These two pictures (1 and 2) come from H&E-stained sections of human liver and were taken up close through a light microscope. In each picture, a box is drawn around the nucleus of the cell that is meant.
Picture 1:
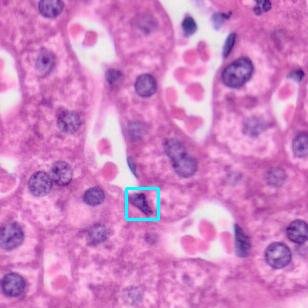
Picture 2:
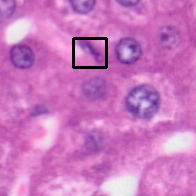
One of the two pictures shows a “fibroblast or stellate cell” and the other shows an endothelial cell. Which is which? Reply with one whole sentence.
Picture 1 shows a “fibroblast or stellate cell” and picture 2 shows an endothelial cell.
